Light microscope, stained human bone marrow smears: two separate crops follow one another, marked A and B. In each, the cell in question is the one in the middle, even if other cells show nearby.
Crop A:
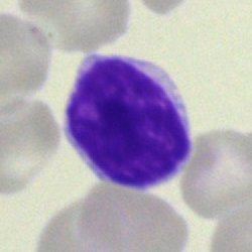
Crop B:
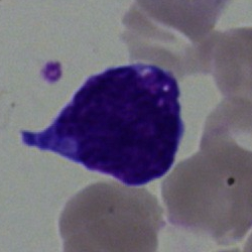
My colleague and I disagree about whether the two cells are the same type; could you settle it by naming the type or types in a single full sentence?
No, crop A and crop B contain, respectively, a lymphocyte and a blast.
